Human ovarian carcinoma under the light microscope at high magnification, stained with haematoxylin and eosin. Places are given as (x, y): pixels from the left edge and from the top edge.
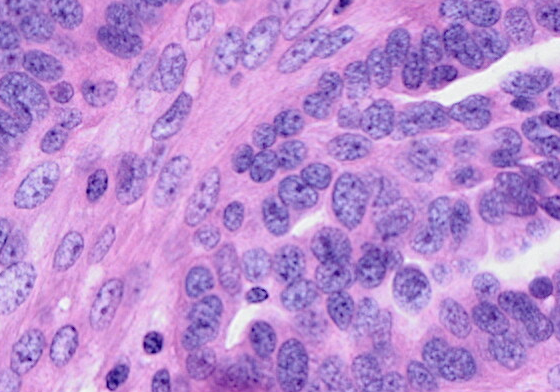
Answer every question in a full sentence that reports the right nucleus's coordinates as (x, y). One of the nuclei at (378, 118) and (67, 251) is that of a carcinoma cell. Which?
Of these two nuclei, it is the one at (378, 118) that belongs to a carcinoma cell.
